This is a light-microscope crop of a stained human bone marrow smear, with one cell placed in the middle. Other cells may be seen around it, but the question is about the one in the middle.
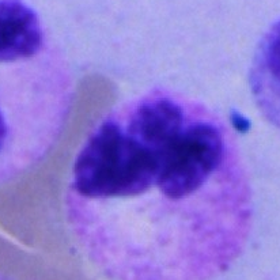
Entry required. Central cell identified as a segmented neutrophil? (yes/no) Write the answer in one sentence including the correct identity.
Yes, the cell in the center of this crop is a segmented neutrophil.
